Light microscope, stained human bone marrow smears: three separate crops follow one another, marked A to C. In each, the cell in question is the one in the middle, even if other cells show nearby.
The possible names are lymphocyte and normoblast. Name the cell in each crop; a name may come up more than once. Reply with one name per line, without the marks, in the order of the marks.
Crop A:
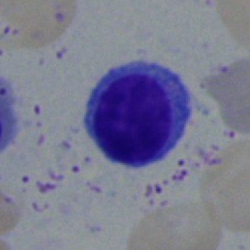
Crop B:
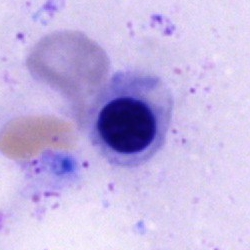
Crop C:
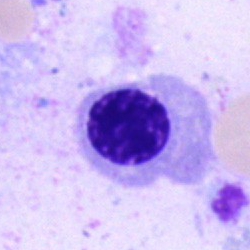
lymphocyte
normoblast
normoblast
